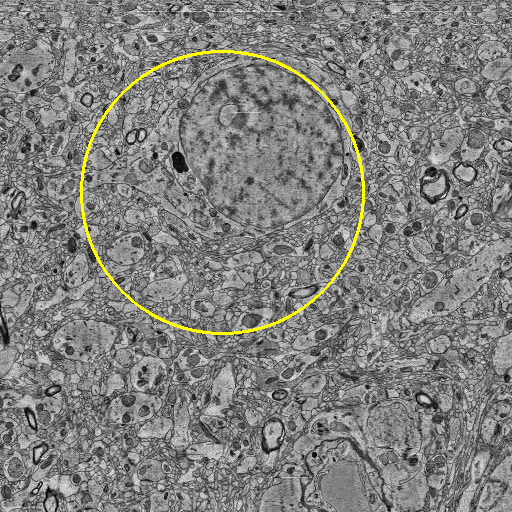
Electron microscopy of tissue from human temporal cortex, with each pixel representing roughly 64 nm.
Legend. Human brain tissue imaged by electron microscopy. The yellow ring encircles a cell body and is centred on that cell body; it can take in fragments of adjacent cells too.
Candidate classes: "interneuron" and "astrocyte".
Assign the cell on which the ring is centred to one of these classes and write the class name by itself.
interneuron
